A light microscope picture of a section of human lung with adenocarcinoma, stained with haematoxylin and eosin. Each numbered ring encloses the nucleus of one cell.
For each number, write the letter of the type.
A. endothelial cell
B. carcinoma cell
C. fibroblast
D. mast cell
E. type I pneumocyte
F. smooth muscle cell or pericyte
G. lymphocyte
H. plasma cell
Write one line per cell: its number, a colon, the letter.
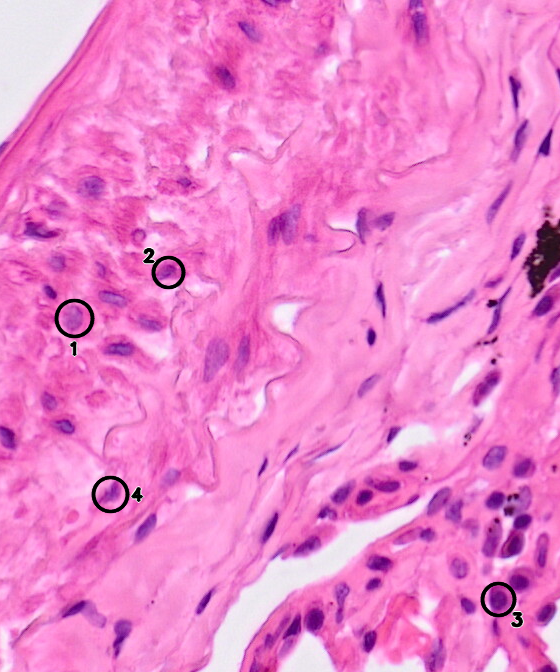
1: F
2: F
3: H
4: F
